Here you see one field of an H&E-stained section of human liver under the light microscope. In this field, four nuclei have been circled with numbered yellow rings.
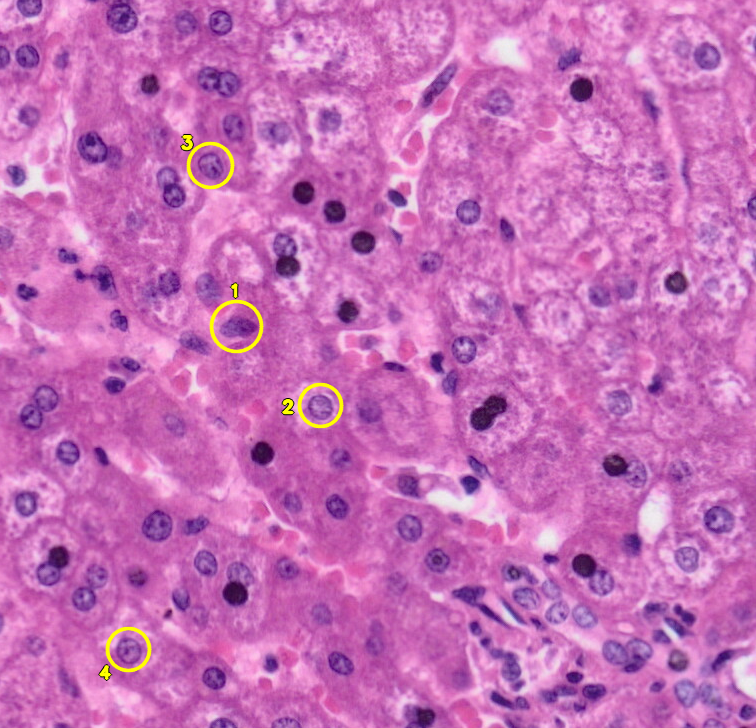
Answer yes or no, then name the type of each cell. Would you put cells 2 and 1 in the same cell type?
No, as to type, cell 2 is a hepatocyte, and cell 1 is a Kupffer cell.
